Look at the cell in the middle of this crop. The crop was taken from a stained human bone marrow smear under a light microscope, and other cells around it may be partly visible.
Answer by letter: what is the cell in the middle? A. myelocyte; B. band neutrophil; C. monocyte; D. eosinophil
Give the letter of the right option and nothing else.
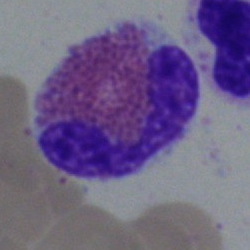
D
